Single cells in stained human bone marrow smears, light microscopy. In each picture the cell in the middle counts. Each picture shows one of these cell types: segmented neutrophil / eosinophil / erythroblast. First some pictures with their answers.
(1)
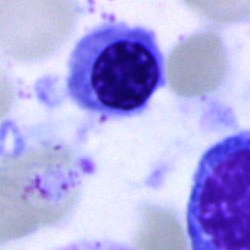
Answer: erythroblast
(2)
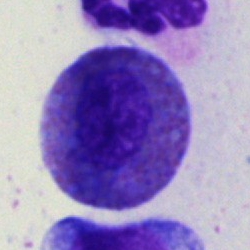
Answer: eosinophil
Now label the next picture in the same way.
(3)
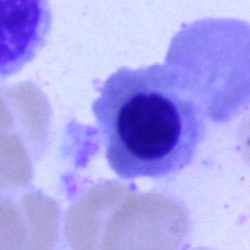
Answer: erythroblast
